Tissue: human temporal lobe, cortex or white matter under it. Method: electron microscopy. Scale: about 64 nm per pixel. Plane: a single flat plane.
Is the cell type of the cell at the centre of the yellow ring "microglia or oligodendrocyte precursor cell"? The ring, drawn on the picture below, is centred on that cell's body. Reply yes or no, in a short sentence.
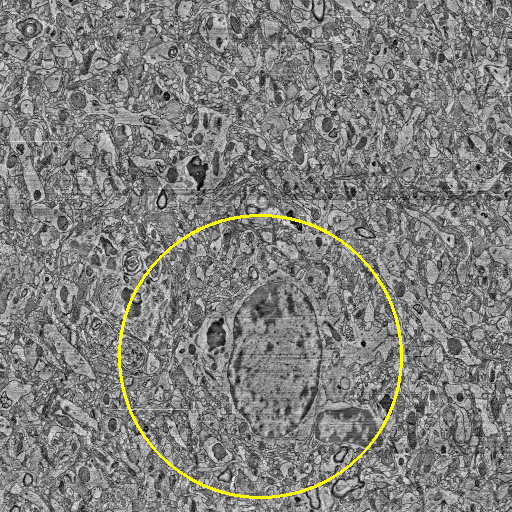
No, its cell type is another.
